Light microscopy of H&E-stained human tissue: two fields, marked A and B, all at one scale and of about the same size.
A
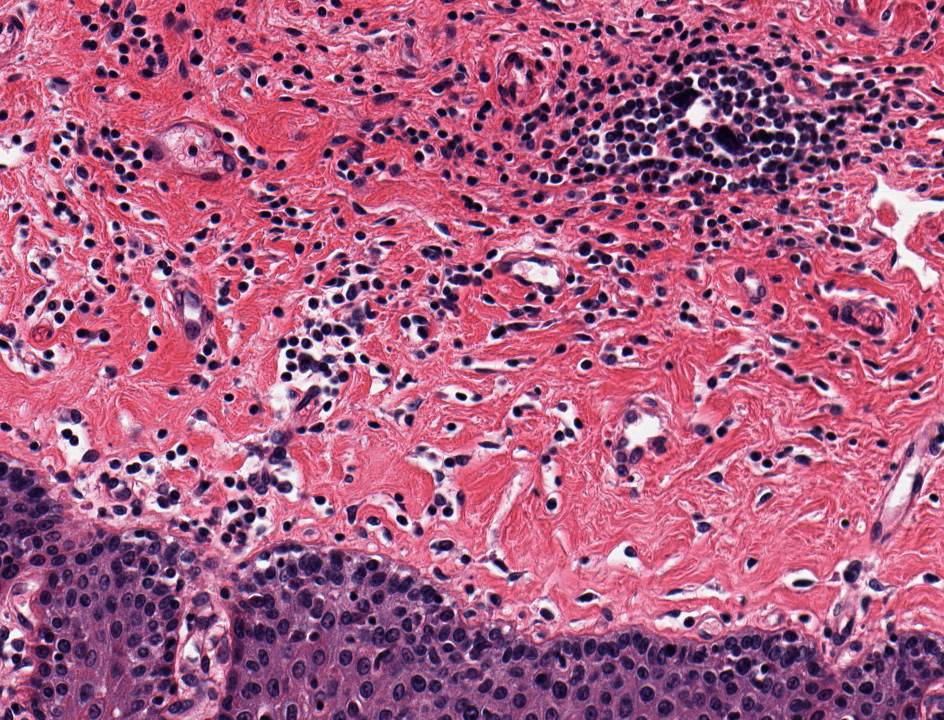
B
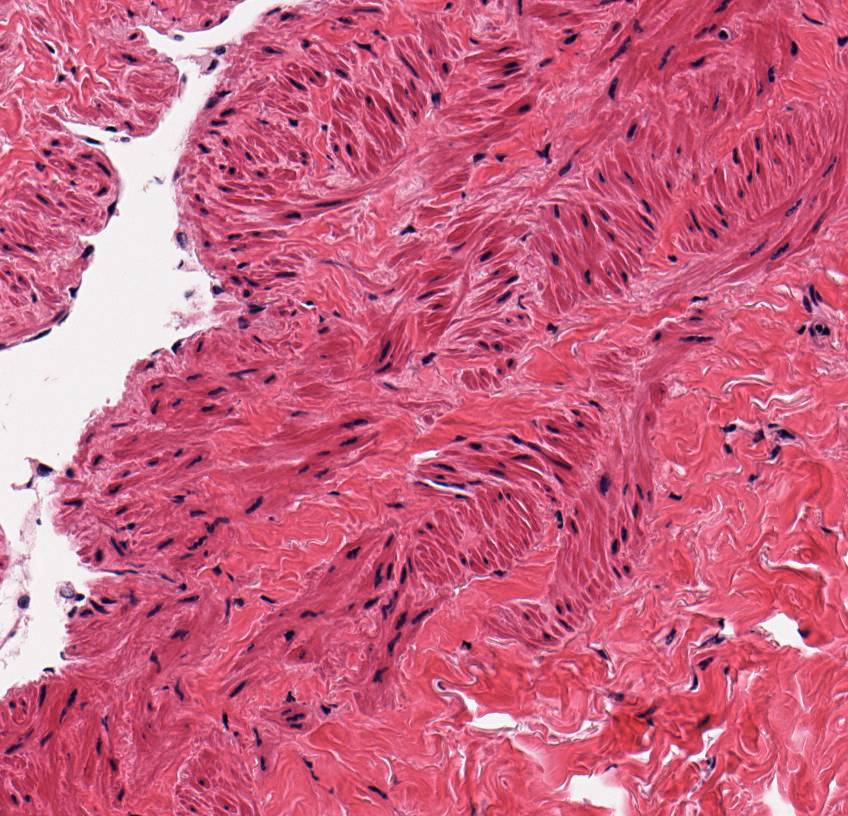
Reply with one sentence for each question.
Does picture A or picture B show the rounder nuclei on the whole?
It is picture A whose nuclei are the rounder.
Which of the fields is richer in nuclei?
The larger number of nuclei is in picture A.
